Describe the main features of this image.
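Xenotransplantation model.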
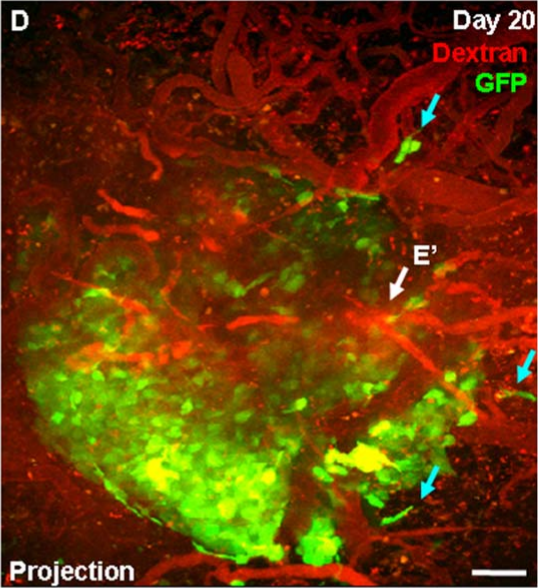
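A network of red blood vessels, both large branching vessels and finer capillaries, runs over and through the area, and some green cells sit directly against vessel walls. Towards the edges of the field, single green cells and small groups lie apart from the main mass, some of them elongated along vessels.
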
